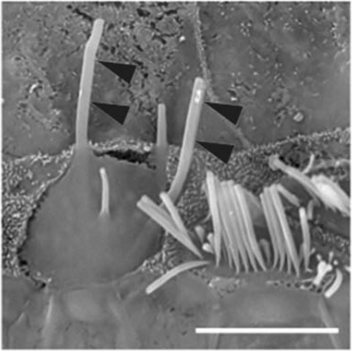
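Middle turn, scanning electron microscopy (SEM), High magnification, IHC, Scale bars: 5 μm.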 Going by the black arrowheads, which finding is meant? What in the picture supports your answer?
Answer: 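The marked projections stand far taller than the rest of the bundle.
Conclusion: elongated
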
